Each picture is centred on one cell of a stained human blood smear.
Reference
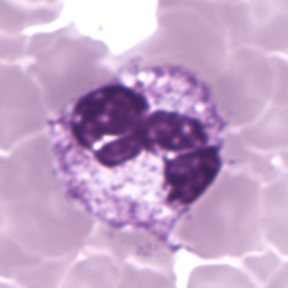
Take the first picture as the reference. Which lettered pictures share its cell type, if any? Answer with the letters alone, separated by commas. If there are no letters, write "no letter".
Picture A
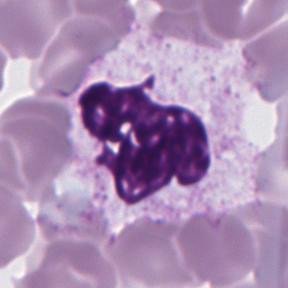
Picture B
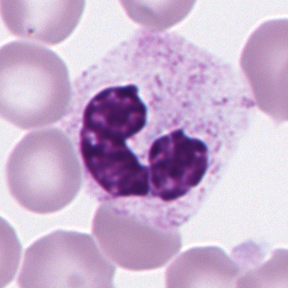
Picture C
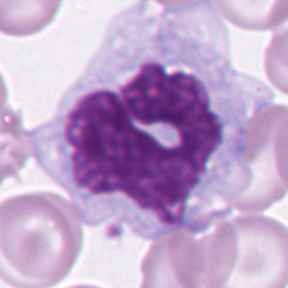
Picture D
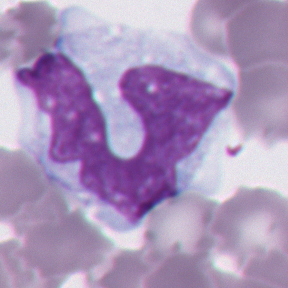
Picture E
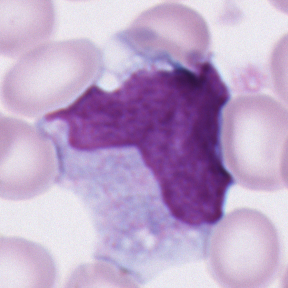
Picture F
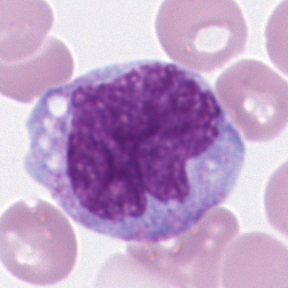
A, B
